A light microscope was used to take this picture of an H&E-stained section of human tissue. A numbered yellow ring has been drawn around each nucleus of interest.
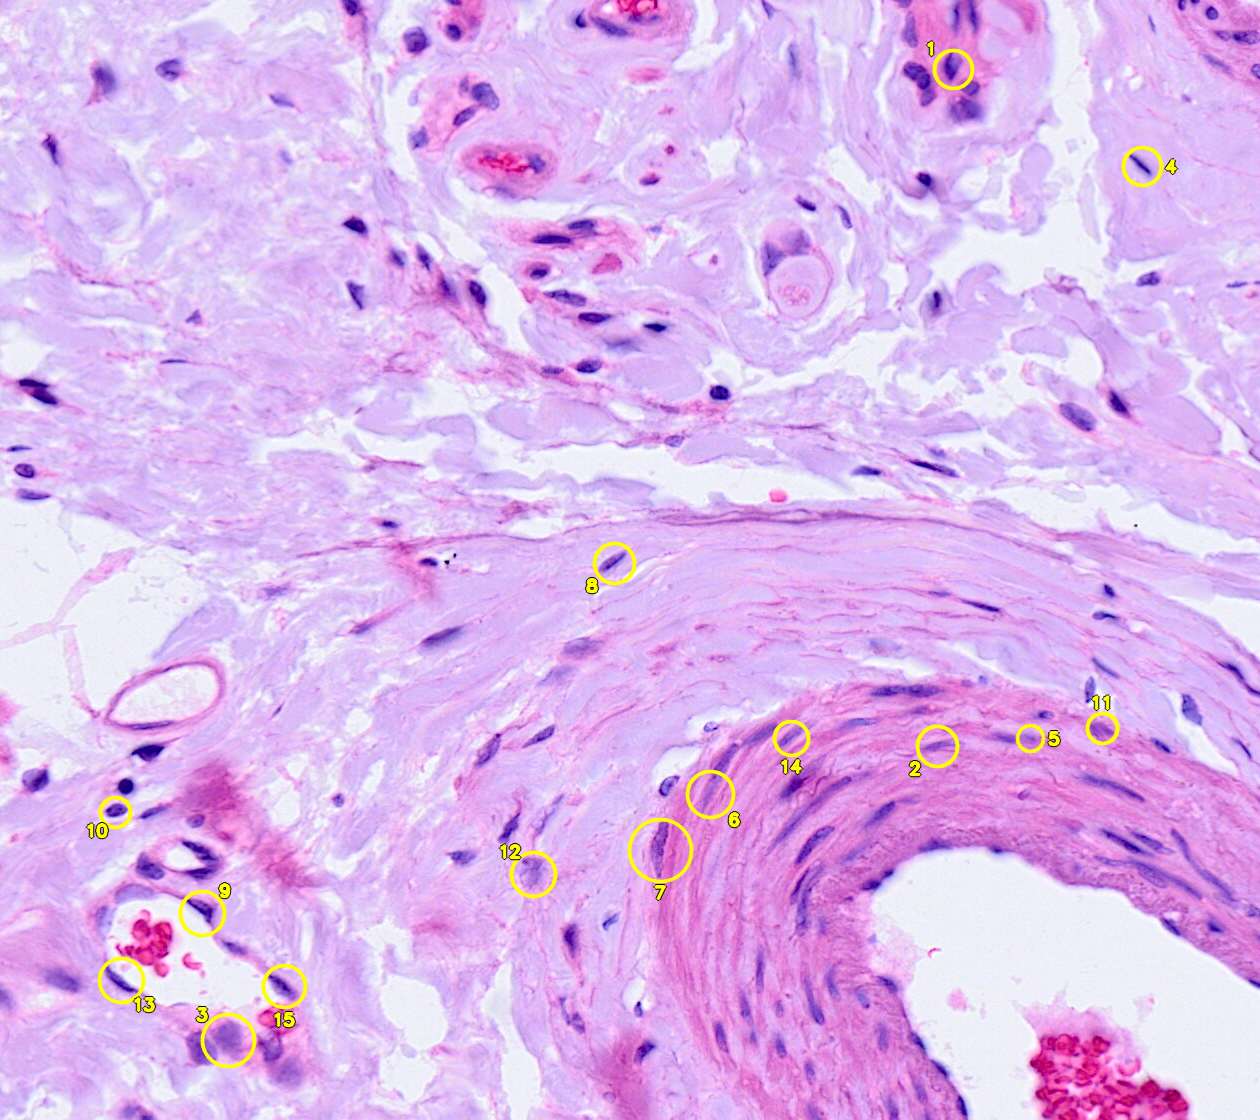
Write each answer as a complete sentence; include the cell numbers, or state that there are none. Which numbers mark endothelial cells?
To be specific, the cells numbered 3, 9, 13 and 15 are endothelial cells.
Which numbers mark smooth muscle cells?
The cells with the numbers 1, 2, 5, 6, 7, 11 and 14 are smooth muscle cells.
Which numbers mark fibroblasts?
Cells that were given the numbers 4, 8 and 12 are fibroblasts.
